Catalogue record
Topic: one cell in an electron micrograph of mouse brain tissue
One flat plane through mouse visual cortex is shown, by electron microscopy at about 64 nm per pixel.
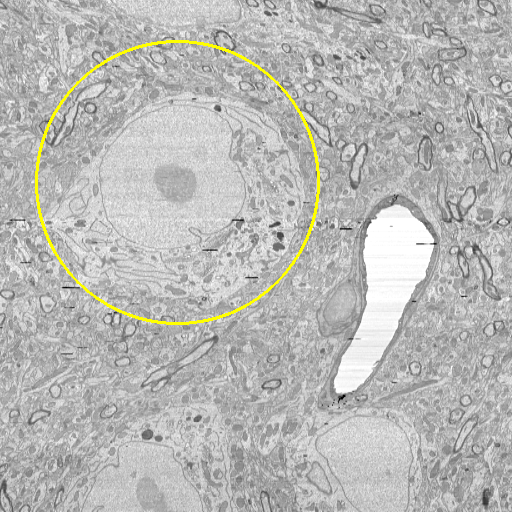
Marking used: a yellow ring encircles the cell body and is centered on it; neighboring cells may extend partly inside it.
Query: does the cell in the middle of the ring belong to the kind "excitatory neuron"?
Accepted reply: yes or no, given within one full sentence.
Yes, the cell centered in the ring in the picture is of that kind.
